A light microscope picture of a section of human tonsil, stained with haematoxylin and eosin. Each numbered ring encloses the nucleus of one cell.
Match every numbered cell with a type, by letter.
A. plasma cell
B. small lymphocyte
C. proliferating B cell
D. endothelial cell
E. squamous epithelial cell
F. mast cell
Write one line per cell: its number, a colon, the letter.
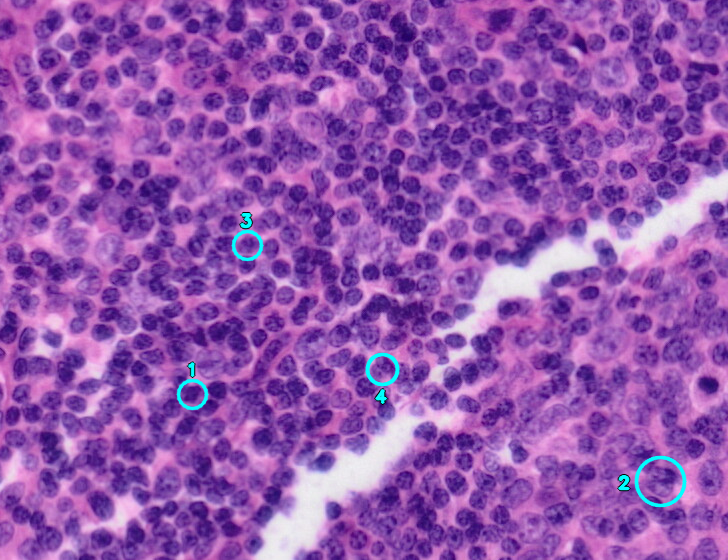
1: B
2: C
3: B
4: B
